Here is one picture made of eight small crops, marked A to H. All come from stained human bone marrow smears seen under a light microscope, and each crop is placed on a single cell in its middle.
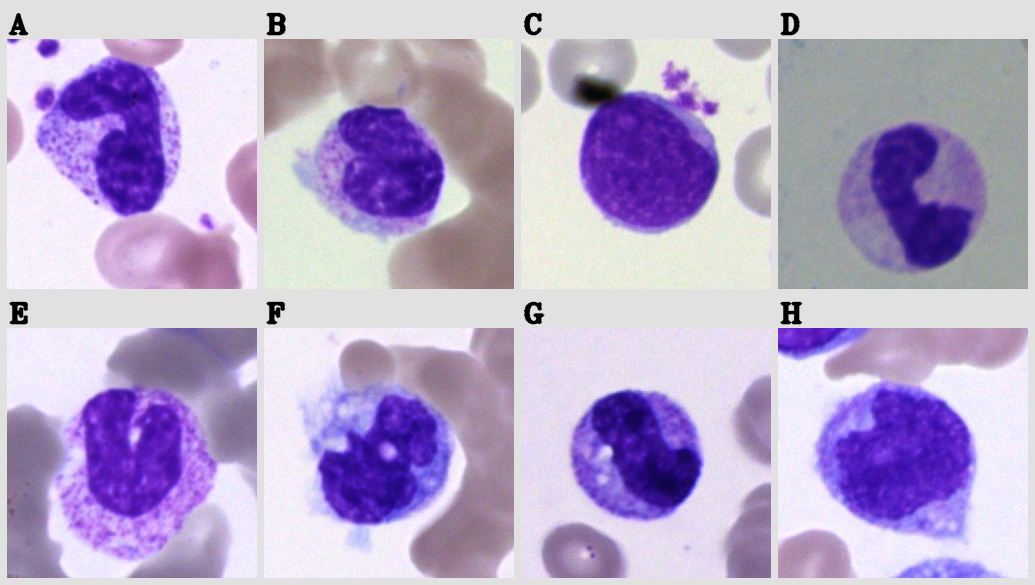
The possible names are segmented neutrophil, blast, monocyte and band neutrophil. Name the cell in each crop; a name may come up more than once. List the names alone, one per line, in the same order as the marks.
band neutrophil
band neutrophil
blast
band neutrophil
band neutrophil
monocyte
band neutrophil
monocyte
